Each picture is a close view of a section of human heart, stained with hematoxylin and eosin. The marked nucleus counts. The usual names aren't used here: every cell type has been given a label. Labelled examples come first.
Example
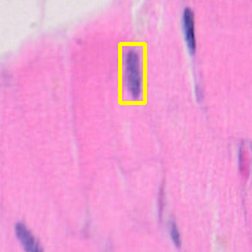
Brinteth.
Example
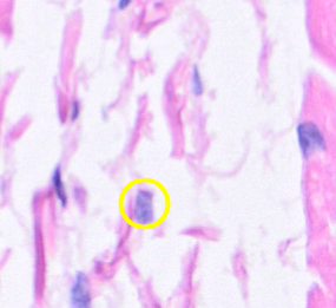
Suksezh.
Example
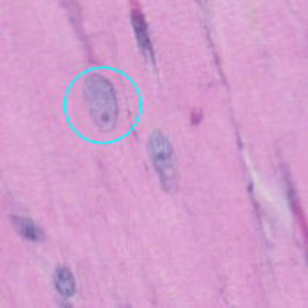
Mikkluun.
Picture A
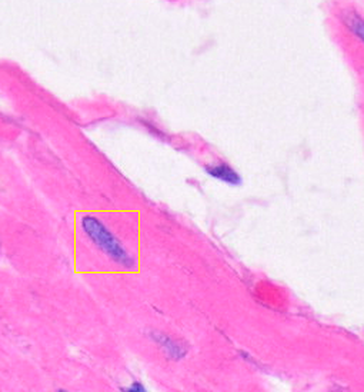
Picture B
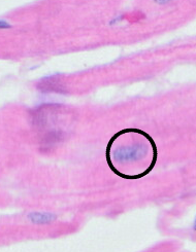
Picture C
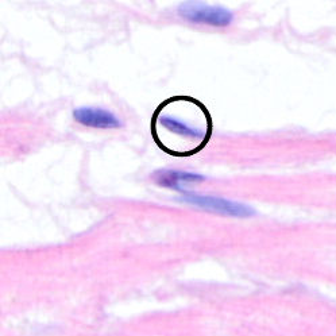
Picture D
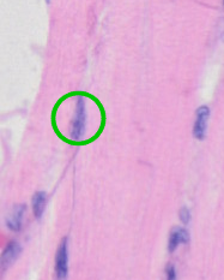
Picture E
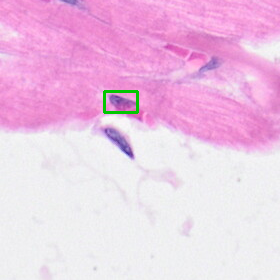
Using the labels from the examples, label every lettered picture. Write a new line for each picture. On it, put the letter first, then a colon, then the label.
A: Mikkluun.
B: Mikkluun.
C: Suksezh.
D: Suksezh.
E: Suksezh.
